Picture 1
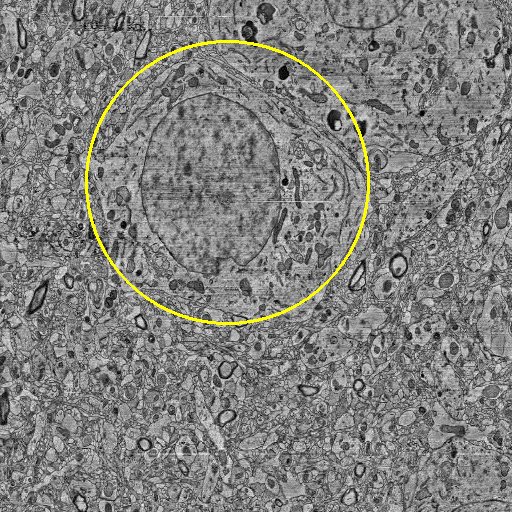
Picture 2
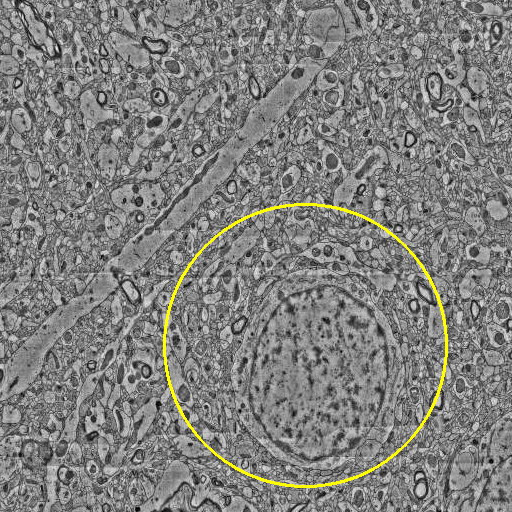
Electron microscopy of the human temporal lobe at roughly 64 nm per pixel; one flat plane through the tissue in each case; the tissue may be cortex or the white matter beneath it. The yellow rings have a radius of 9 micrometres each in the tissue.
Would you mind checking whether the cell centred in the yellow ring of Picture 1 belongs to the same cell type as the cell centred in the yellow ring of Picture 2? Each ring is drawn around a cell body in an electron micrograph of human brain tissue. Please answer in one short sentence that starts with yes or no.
Yes, both cells are of the same type.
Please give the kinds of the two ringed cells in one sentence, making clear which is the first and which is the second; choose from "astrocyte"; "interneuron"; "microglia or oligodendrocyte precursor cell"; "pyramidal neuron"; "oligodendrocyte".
The cell at the ring centre is an interneuron in both pictures.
